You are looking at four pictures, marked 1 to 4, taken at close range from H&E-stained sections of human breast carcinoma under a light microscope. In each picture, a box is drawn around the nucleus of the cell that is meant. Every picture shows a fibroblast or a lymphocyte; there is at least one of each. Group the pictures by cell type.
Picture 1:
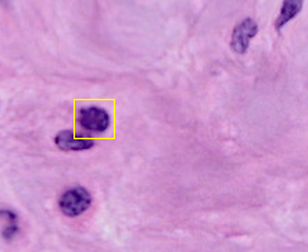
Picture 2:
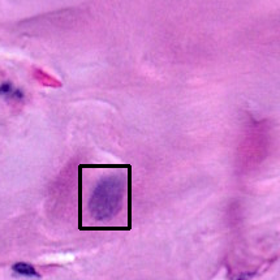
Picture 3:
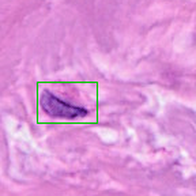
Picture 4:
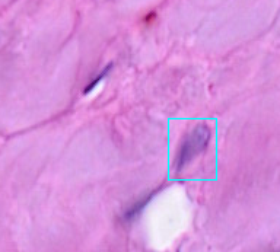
1: lymphocyte
2: fibroblast
3: fibroblast
4: fibroblast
